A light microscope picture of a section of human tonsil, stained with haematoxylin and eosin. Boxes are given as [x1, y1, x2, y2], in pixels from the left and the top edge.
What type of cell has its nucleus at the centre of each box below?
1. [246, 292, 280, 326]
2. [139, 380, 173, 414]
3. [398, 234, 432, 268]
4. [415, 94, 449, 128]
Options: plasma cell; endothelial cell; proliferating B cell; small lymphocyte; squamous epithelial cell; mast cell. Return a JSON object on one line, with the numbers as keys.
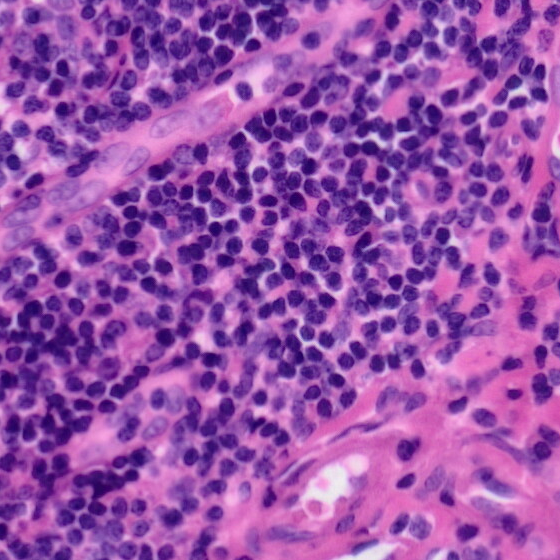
{"1": "small lymphocyte", "2": "endothelial cell", "3": "small lymphocyte", "4": "small lymphocyte"}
